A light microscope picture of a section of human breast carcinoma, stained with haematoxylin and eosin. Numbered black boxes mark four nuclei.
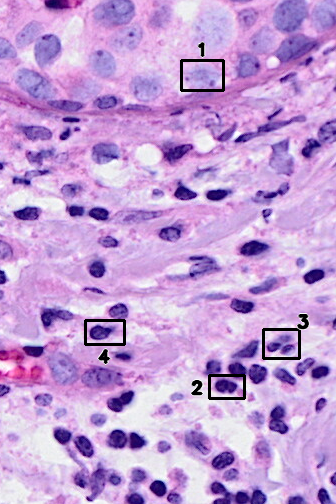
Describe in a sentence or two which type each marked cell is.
Cell 1 is a carcinoma cell, cell 2 is a lymphocyte, cell 3 is a lymphocyte and cell 4 is a lymphocyte.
